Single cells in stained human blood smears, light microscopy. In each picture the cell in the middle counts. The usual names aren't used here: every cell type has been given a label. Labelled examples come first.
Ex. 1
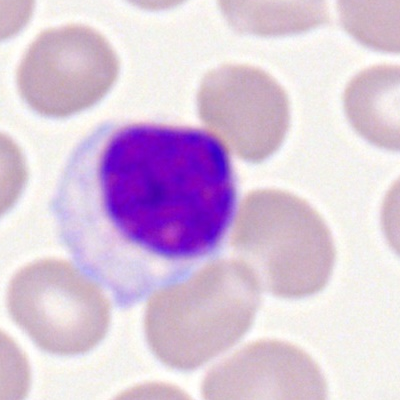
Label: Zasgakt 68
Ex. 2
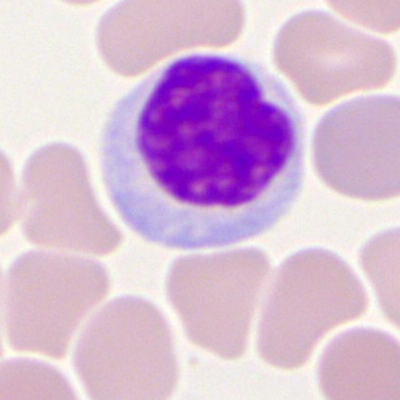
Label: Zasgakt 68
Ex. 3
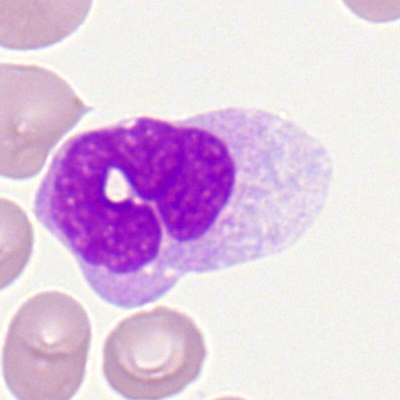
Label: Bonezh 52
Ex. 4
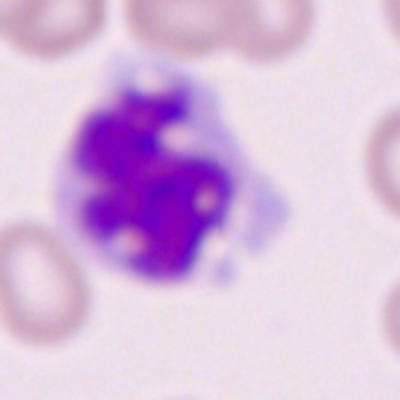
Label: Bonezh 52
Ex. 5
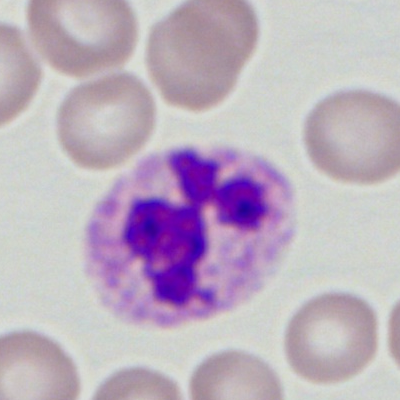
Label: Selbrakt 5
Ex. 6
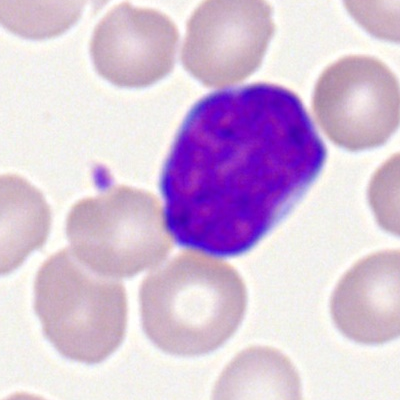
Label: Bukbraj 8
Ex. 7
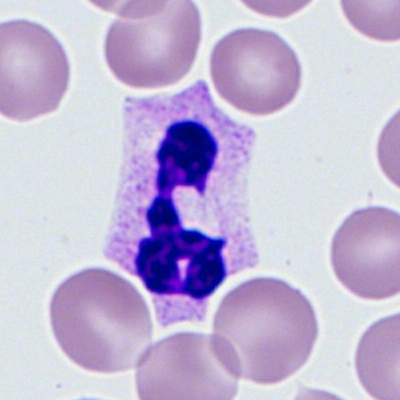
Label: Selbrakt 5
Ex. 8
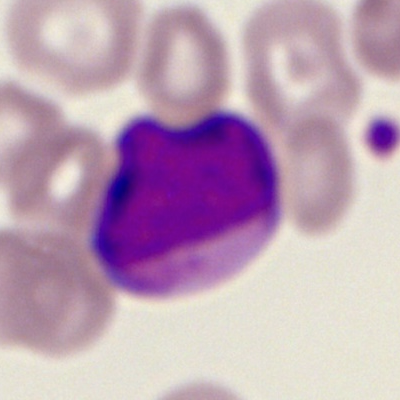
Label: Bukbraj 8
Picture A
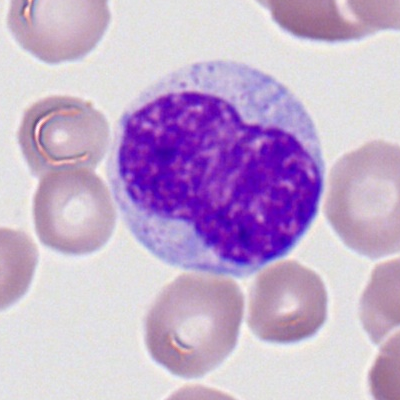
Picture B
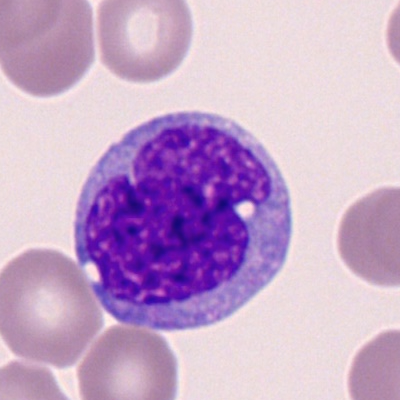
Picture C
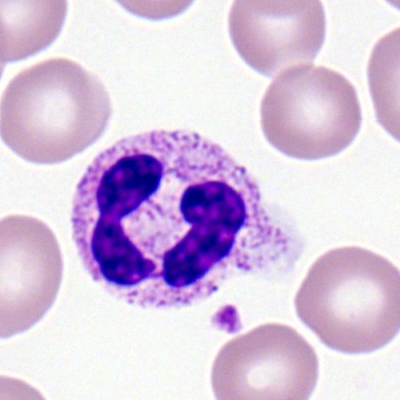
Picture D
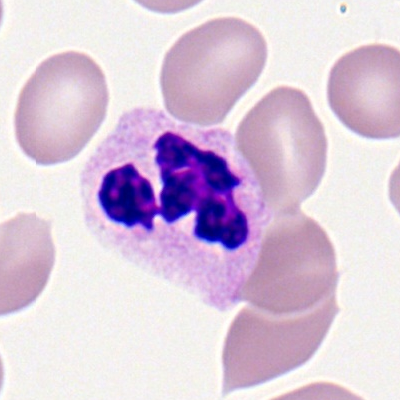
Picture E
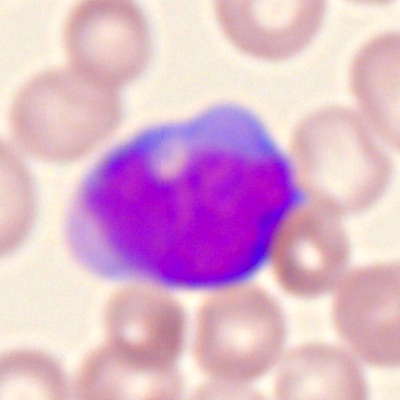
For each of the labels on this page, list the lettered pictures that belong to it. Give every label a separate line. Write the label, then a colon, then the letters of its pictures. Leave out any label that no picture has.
Bonezh 52: A, B
Selbrakt 5: C, D
Bukbraj 8: E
